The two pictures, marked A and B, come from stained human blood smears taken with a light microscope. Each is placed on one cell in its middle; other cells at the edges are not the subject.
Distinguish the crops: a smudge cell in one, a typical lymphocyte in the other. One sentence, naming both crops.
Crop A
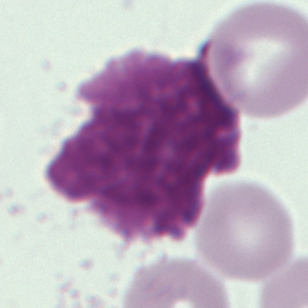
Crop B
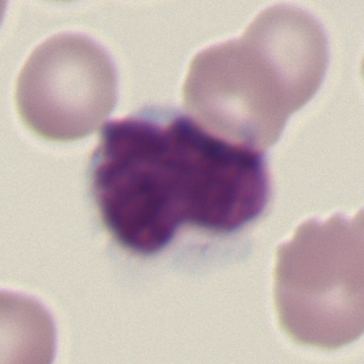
The central cell of crop A is a smudge cell, and that of crop B is a typical lymphocyte.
